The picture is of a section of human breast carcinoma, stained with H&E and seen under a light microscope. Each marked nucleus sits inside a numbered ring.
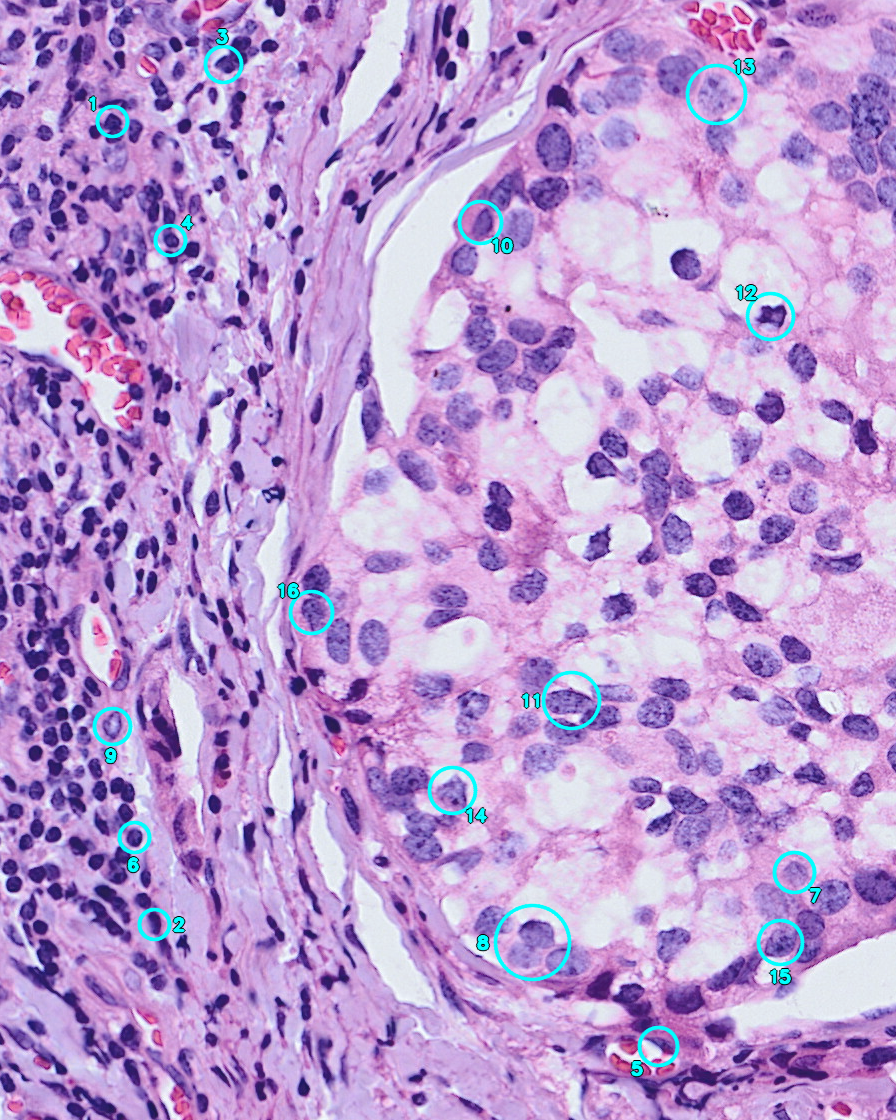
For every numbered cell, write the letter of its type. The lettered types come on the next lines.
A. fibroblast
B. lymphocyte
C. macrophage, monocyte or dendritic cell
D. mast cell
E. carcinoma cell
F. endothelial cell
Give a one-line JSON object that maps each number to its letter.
{"1": "B", "2": "B", "3": "B", "4": "B", "5": "F", "6": "B", "7": "E", "8": "E", "9": "F", "10": "E", "11": "E", "12": "E", "13": "E", "14": "E", "15": "E", "16": "E"}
